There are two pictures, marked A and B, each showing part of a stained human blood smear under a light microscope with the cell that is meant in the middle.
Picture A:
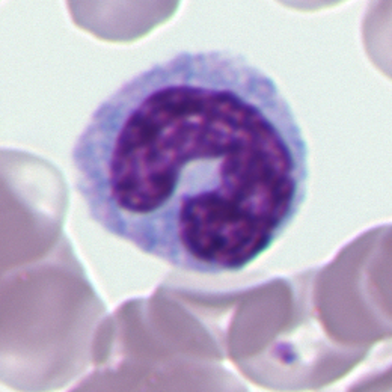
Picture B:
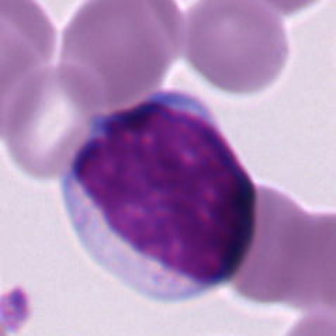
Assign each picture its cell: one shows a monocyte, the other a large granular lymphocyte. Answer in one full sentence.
The cell in picture A is a monocyte, and the one in picture B is a large granular lymphocyte.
